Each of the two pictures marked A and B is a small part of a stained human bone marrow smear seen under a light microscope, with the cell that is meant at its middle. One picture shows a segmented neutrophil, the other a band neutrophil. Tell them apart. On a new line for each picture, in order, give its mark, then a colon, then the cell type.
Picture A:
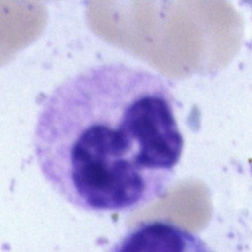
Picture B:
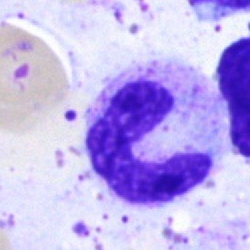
A: segmented neutrophil
B: band neutrophil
